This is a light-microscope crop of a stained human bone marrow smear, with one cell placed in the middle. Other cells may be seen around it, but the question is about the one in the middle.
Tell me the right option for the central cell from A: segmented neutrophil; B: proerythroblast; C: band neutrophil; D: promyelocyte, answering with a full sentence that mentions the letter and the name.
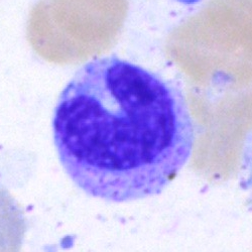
For this crop, option C is right, the centered cell being a band neutrophil.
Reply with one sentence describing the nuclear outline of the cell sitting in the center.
A single compact nucleus, round, oval or kidney-shaped, is what this cell shows.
